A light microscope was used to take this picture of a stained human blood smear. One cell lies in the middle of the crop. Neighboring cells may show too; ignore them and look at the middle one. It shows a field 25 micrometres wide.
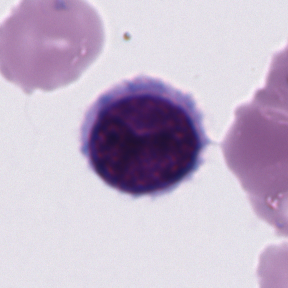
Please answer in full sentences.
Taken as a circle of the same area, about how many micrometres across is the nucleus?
The nucleus is about 9 micrometres across.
